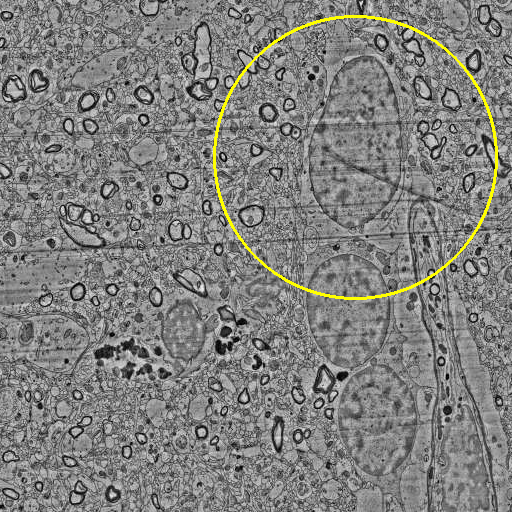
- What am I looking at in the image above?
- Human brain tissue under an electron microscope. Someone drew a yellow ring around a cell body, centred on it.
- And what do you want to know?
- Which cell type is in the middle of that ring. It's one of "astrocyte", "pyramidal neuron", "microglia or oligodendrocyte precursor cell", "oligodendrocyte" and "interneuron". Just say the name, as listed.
microglia or oligodendrocyte precursor cell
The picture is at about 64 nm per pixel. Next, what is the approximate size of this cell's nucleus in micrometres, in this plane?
Roughly 11 micrometres long and 6 micrometres wide; in this plane the nucleus is clearly longer than it is wide.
